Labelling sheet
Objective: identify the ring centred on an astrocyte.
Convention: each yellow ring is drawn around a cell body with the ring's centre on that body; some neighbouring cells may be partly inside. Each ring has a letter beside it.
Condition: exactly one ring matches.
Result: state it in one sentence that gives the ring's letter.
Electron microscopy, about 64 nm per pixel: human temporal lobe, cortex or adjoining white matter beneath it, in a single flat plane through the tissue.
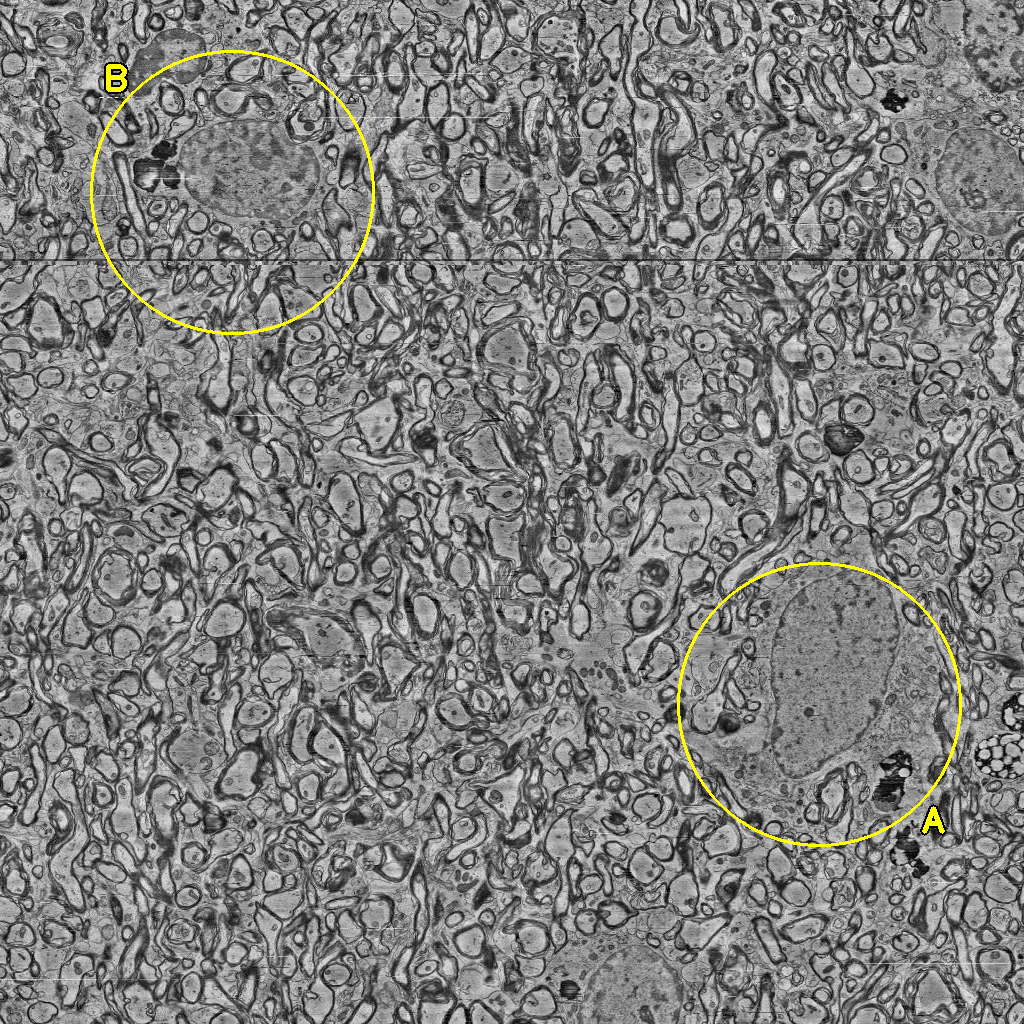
It lies at the centre of ring A.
